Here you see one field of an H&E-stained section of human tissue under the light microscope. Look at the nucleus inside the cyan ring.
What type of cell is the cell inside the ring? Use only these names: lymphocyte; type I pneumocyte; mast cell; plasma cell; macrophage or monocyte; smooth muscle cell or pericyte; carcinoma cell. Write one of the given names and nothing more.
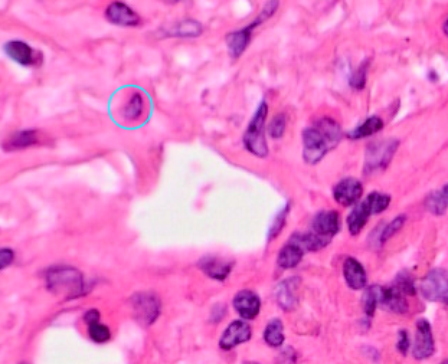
mast cell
